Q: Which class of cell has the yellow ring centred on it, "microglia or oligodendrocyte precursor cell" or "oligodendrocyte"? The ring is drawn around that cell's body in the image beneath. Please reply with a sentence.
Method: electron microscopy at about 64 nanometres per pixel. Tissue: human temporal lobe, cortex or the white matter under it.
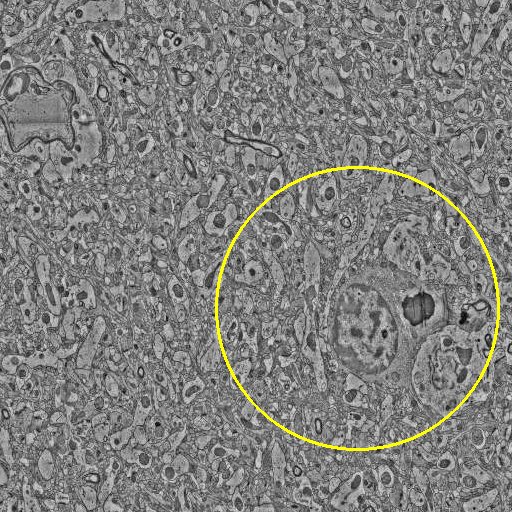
It is centred on an oligodendrocyte.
